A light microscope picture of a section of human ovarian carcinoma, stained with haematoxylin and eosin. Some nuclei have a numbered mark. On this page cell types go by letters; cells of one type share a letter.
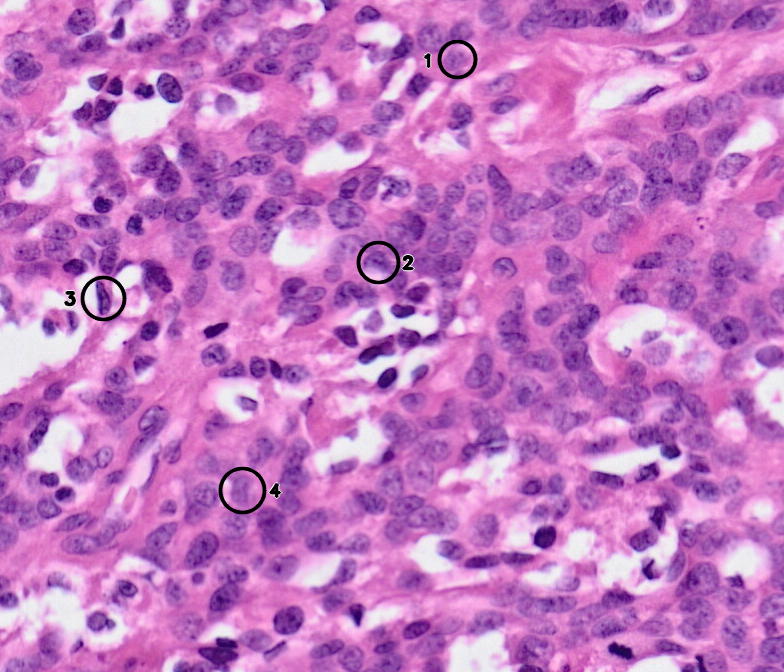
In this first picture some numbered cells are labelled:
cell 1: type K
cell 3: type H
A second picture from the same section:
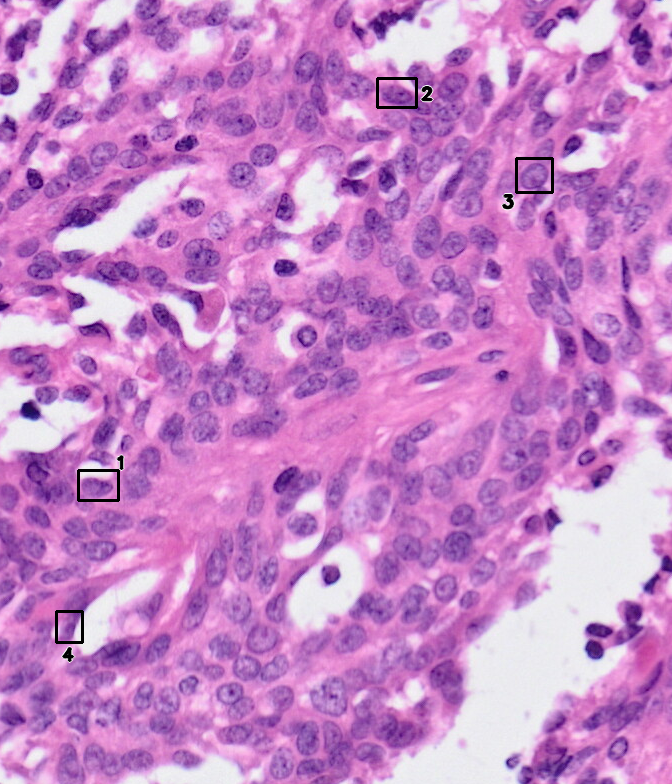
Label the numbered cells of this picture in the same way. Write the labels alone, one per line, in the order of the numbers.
type H
type K
type K
type K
